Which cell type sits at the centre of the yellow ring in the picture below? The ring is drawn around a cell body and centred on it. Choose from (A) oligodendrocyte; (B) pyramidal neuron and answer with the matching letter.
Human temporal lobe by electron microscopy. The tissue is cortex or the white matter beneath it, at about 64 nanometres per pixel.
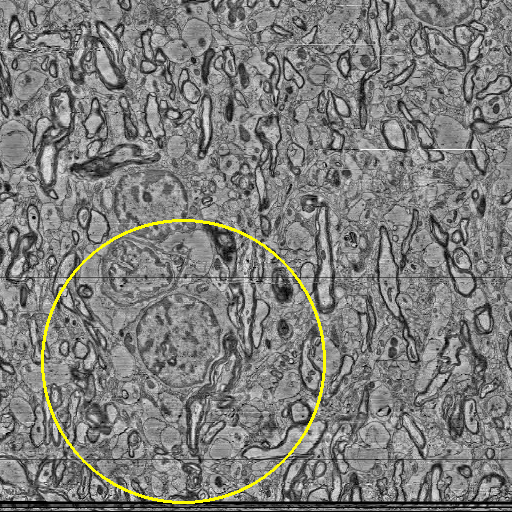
A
